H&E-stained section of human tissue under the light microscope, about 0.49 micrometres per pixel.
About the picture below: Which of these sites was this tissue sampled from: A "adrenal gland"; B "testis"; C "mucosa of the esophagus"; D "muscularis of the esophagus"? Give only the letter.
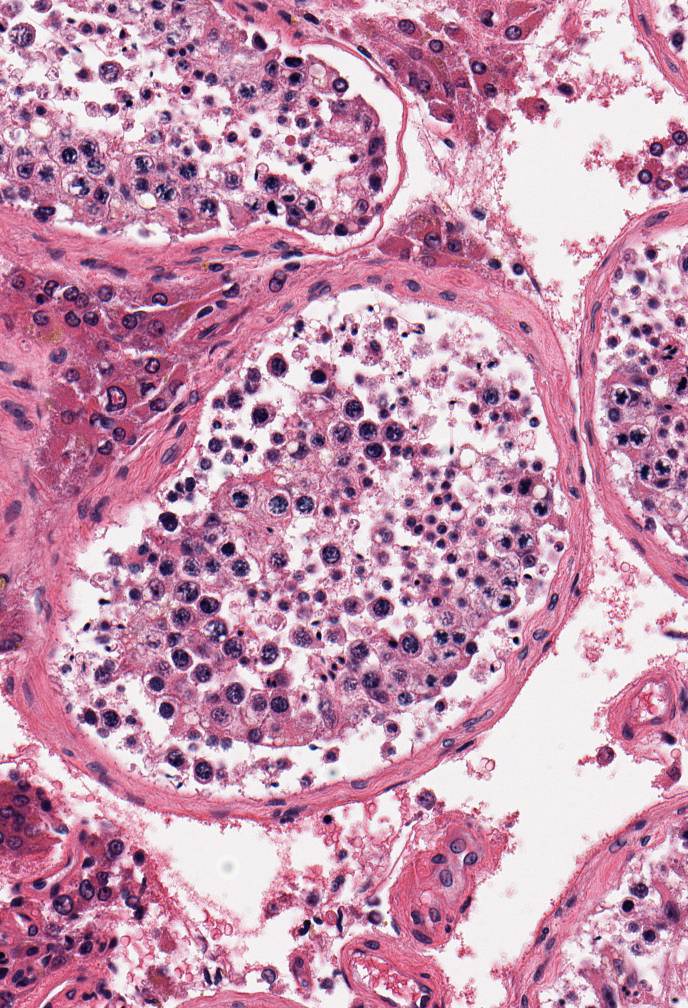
B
